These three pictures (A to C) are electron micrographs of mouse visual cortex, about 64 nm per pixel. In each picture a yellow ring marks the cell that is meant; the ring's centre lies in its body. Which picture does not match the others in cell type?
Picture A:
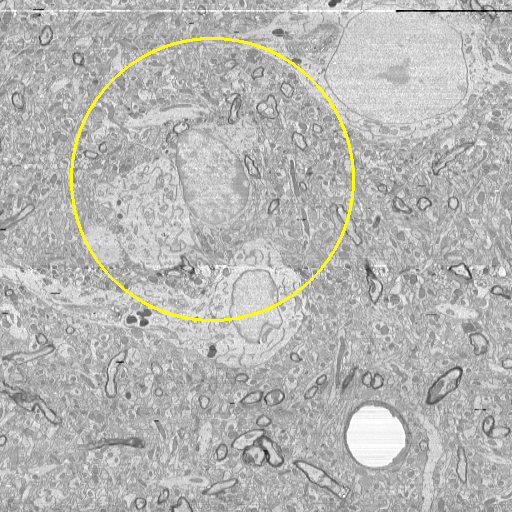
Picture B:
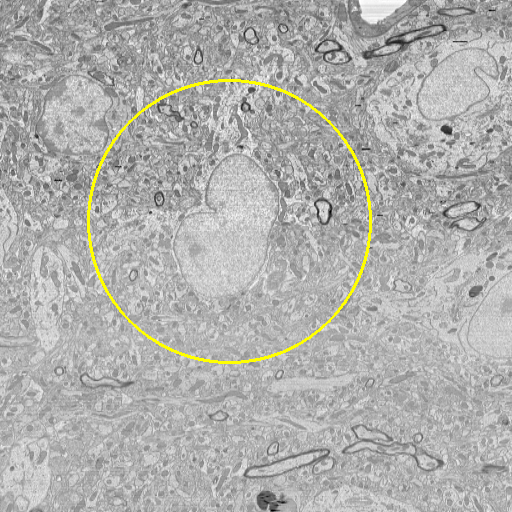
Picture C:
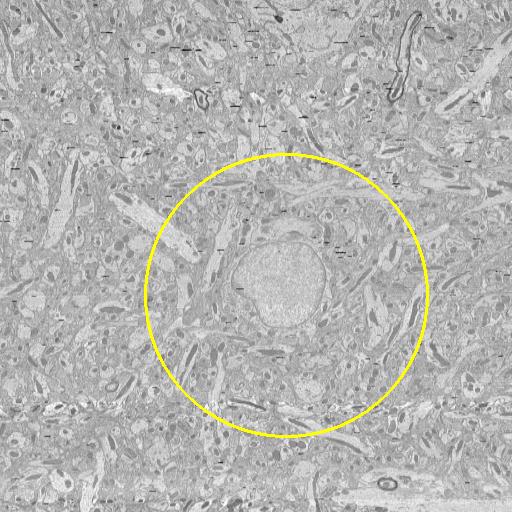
The others show astrocytes, but picture A shows an oligodendrocyte.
